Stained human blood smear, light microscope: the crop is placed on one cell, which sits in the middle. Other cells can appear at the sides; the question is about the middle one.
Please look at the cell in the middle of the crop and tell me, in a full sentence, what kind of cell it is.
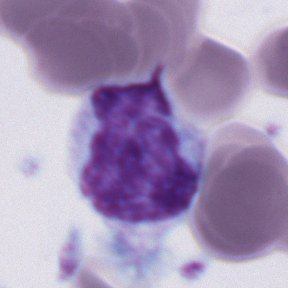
What the crop centres on is a monocyte.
